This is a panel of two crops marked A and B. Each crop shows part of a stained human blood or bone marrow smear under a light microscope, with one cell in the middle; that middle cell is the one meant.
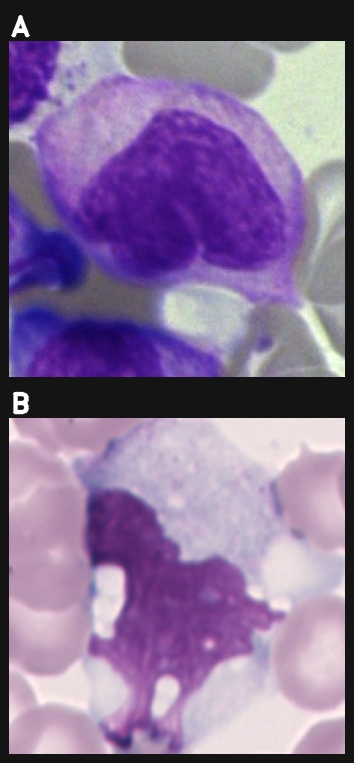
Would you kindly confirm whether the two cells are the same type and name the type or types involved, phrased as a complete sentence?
Yes, both crops feature monocytes at the centre.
